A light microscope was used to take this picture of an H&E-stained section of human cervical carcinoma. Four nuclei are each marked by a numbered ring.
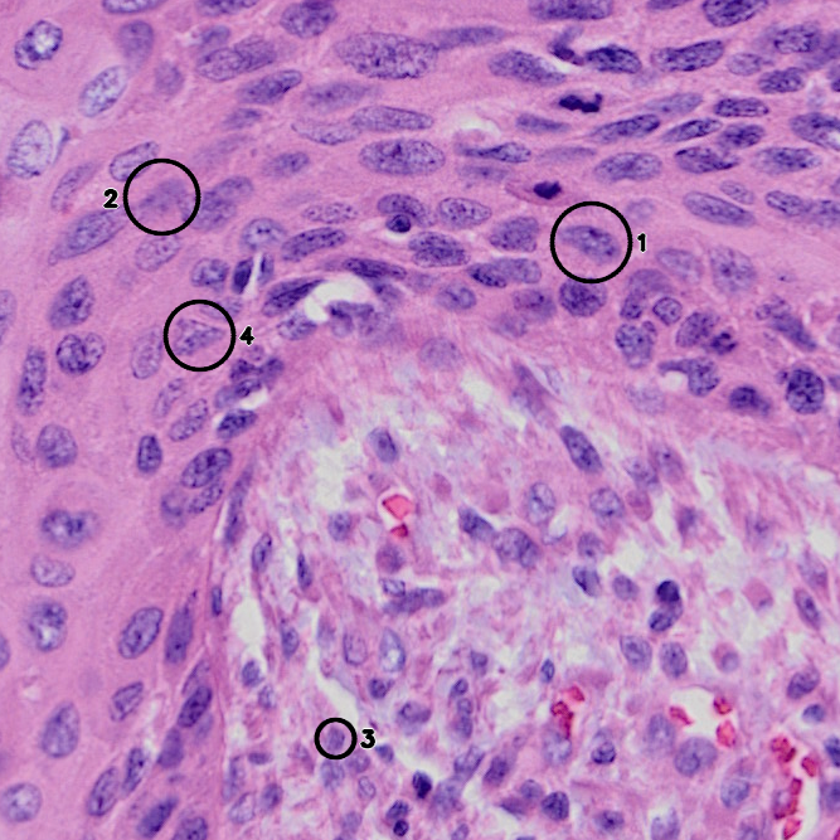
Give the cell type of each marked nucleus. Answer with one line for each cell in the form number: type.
1: squamous carcinoma cell
2: squamous carcinoma cell
3: fibroblast
4: squamous carcinoma cell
